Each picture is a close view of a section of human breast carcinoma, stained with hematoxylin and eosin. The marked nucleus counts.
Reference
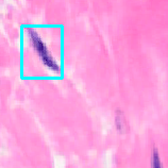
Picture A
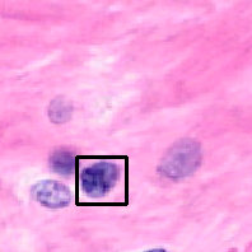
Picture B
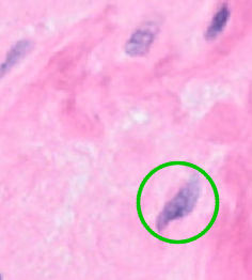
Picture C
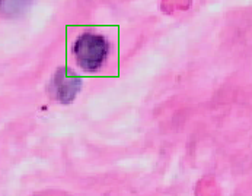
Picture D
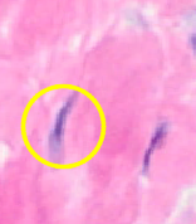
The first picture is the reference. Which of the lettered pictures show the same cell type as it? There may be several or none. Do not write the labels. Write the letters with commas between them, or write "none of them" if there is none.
B, D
